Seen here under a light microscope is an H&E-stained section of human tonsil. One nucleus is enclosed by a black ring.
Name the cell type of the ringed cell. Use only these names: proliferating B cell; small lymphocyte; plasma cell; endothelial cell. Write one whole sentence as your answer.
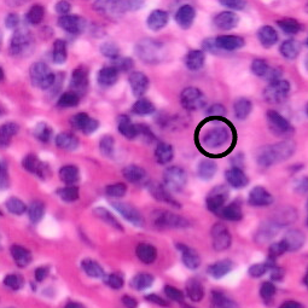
The cell type represented by the ringed cell is that of a plasma cell.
